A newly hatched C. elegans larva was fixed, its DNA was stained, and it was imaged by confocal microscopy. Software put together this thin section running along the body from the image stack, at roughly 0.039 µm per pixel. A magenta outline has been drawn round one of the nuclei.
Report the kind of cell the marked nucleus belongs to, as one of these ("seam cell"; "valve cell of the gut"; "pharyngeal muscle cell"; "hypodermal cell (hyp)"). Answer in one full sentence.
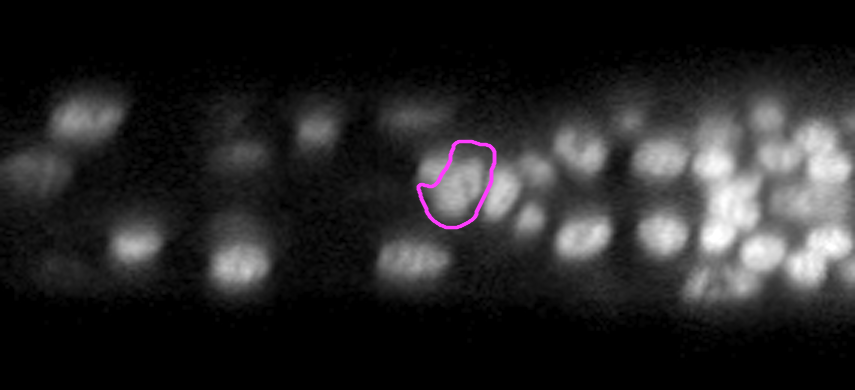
The marked nucleus is that of a valve cell of the gut.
